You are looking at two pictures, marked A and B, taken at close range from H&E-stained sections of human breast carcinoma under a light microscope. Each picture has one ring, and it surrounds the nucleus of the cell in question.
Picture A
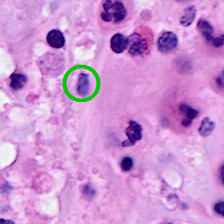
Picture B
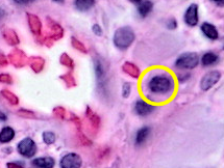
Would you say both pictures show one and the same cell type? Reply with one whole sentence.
Yes, they are the same type: both are lymphocytes.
